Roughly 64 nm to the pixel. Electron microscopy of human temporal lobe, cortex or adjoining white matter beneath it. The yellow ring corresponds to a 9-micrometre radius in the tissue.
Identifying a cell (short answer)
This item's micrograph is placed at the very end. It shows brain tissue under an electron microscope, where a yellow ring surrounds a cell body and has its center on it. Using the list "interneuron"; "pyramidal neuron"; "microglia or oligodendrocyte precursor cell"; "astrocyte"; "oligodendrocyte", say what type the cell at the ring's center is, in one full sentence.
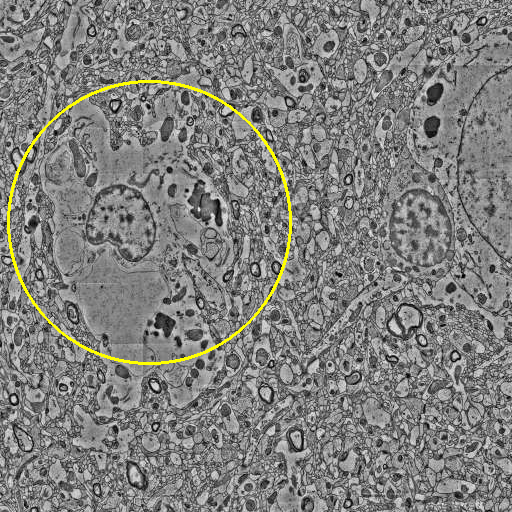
This picture shows an astrocyte at the center of the yellow ring drawn on it.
